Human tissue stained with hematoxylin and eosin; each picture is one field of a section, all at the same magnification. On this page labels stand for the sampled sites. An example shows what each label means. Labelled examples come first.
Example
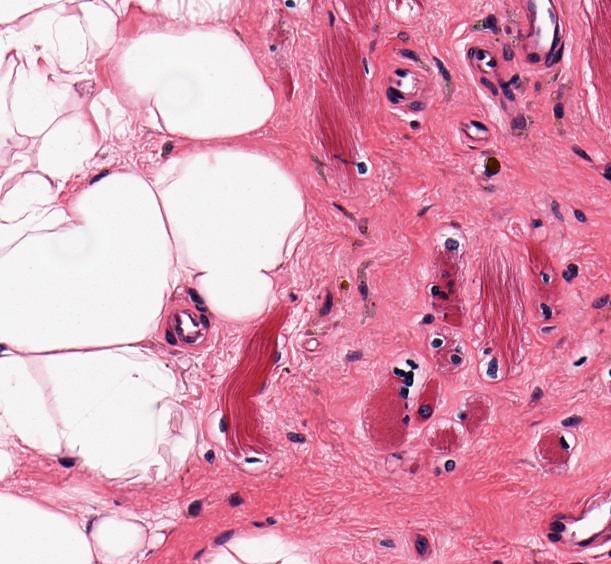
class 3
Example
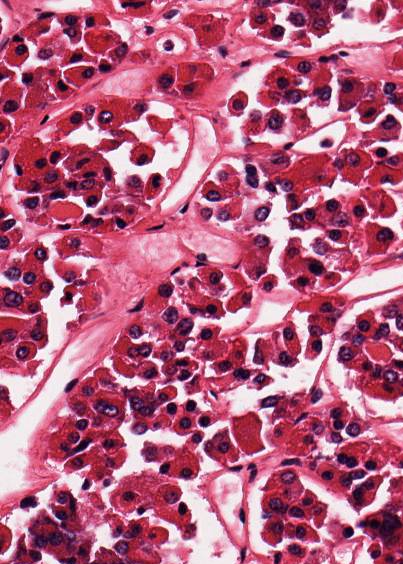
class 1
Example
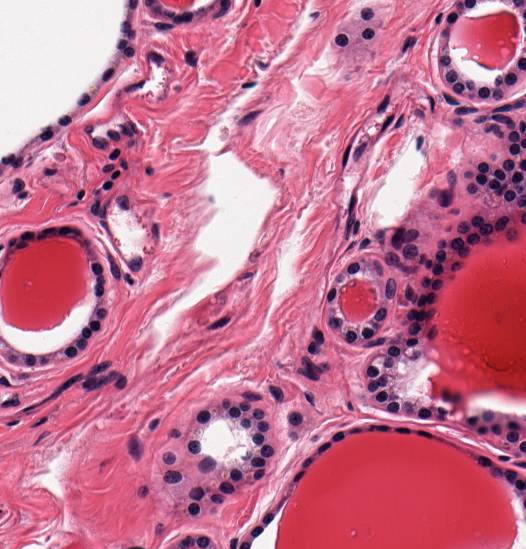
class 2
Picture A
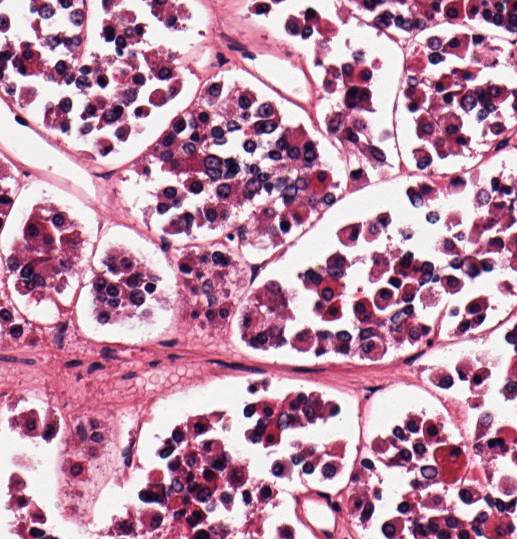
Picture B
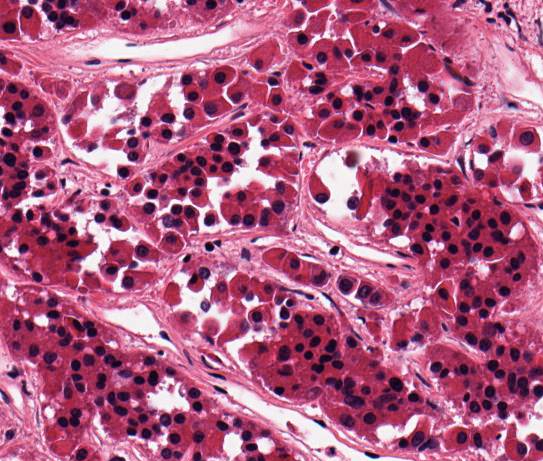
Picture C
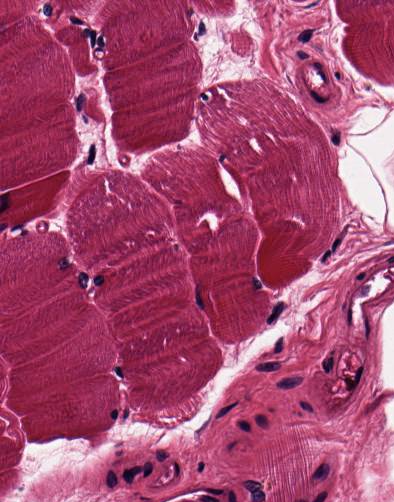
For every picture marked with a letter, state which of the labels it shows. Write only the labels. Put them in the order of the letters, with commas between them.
class 1, class 1, class 3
